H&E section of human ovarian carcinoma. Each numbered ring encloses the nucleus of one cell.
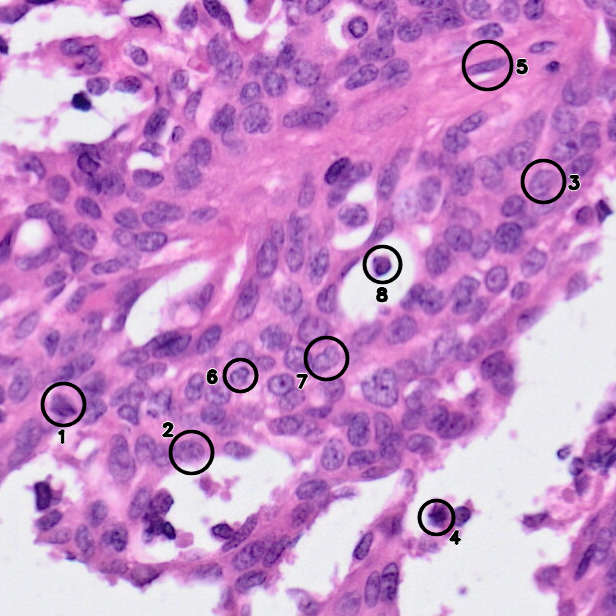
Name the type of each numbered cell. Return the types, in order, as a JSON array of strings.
["carcinoma cell", "carcinoma cell", "carcinoma cell", "macrophage or monocyte", "endothelial cell", "macrophage or monocyte", "carcinoma cell", "carcinoma cell"]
